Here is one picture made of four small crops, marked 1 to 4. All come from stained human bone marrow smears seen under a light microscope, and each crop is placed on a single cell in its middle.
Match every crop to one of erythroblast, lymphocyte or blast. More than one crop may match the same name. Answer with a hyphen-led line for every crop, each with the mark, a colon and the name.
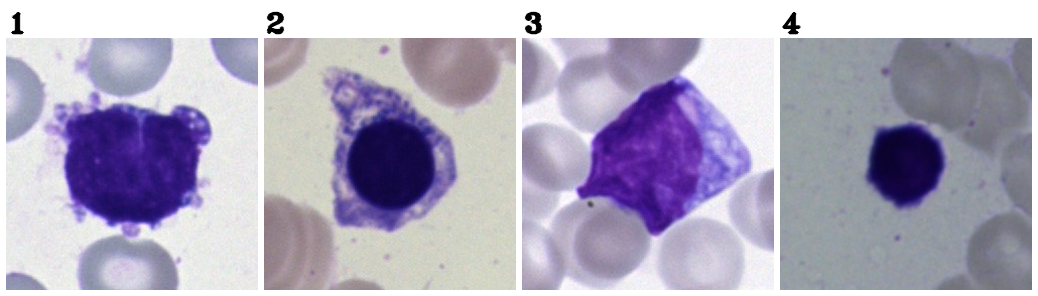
- 1: blast
- 2: erythroblast
- 3: blast
- 4: lymphocyte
